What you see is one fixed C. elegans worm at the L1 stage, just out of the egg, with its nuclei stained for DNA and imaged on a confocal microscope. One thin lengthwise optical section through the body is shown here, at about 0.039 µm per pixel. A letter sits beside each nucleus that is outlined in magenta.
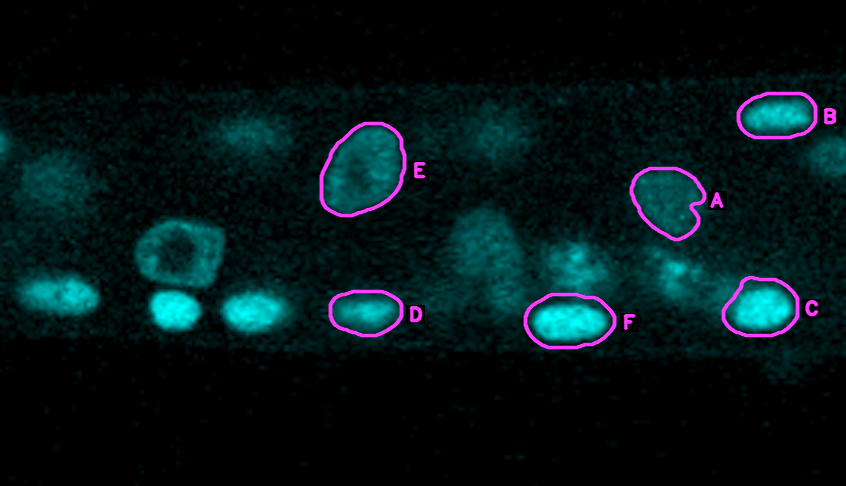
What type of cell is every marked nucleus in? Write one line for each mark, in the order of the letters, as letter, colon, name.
A: intestinal cell
B: body wall muscle cell
C: neuron
D: neuron
E: intestinal cell
F: neuron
